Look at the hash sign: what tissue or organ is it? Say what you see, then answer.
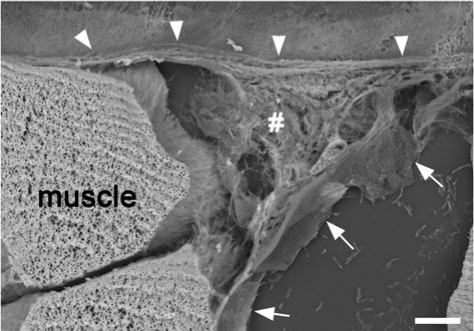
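Loose connective tissue. A loose meshwork of thin fibres with open spaces. It fills the gap between the top sheet, the descending sheet and the muscle.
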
